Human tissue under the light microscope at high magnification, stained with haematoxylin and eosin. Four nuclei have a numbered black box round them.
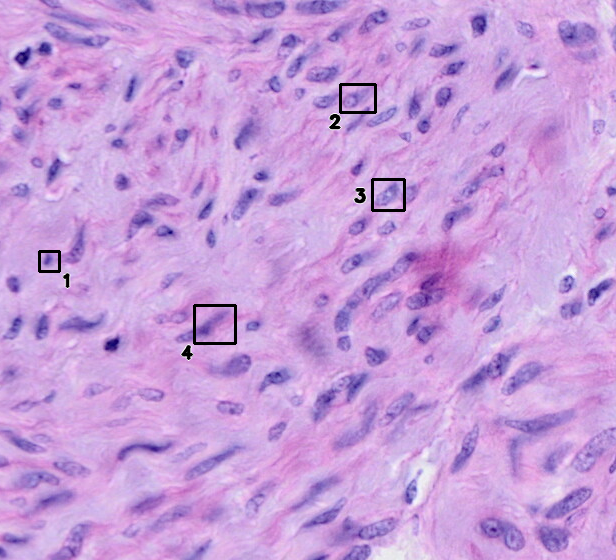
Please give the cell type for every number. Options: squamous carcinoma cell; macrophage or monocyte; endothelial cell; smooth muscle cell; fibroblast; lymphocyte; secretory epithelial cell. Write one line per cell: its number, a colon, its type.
1: fibroblast
2: smooth muscle cell
3: smooth muscle cell
4: smooth muscle cell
